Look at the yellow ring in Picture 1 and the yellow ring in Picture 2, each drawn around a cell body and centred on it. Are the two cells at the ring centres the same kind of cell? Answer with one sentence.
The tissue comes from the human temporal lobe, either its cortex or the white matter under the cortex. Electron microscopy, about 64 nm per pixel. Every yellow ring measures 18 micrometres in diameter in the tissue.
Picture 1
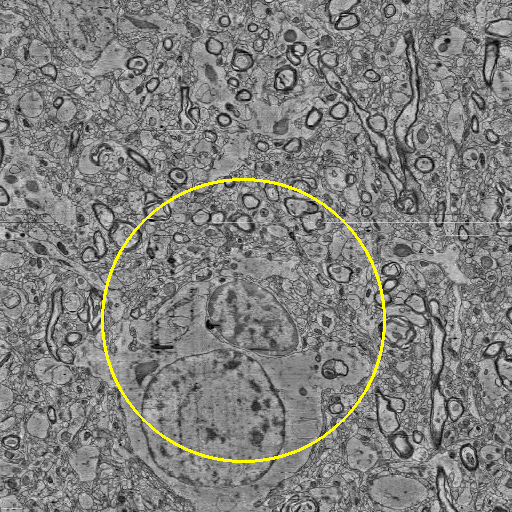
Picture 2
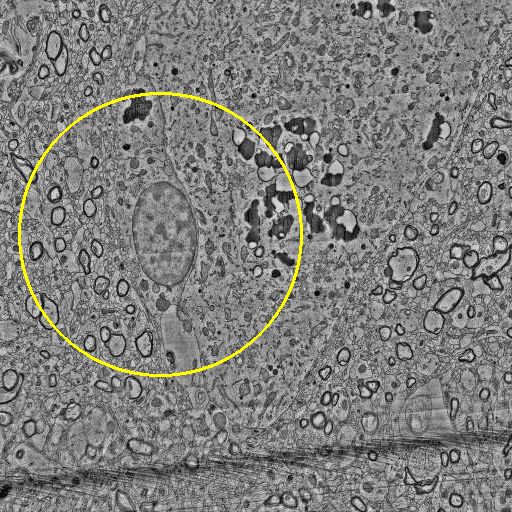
No, they are cells of two kinds.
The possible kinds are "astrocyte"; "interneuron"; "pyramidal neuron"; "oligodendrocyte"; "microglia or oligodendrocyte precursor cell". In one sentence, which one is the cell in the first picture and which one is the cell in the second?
The cell ringed in the second picture is an oligodendrocyte, whereas the one ringed in the first is a microglial cell or oligodendrocyte precursor cell.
